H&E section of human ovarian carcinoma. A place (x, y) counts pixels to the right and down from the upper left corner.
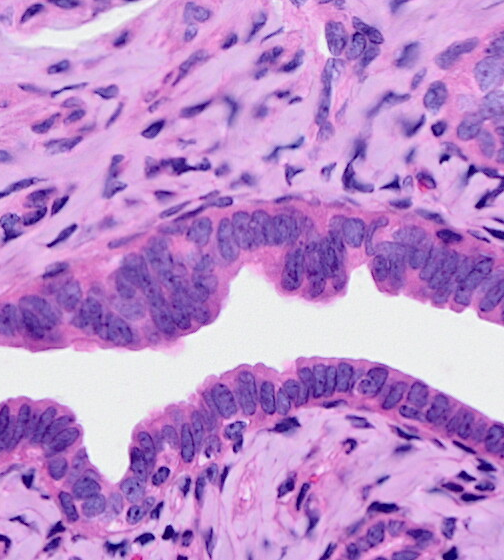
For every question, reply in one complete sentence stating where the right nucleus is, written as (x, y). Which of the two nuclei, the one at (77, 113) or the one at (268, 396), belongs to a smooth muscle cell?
Belonging to a smooth muscle cell is the nucleus at (77, 113).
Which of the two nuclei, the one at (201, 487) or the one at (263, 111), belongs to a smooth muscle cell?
The nucleus that sits at (263, 111) is the nucleus of a smooth muscle cell.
